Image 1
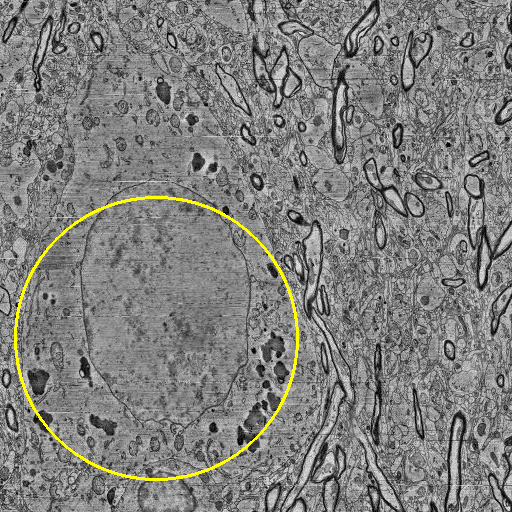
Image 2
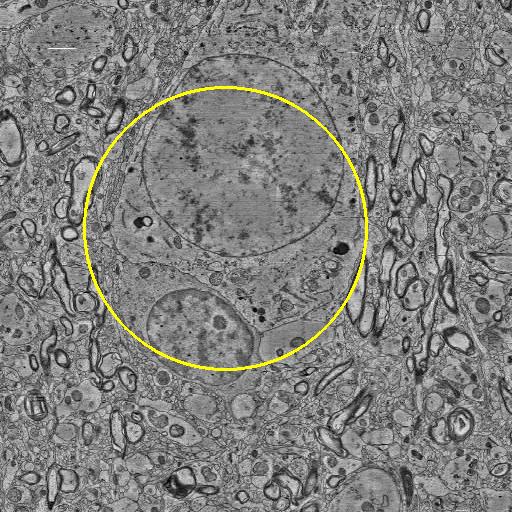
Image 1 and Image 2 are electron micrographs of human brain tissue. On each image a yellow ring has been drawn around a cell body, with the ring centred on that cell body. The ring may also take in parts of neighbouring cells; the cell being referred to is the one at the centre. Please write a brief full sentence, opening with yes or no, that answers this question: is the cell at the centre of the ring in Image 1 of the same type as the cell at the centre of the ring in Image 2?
Yes, both cells are of the same type.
